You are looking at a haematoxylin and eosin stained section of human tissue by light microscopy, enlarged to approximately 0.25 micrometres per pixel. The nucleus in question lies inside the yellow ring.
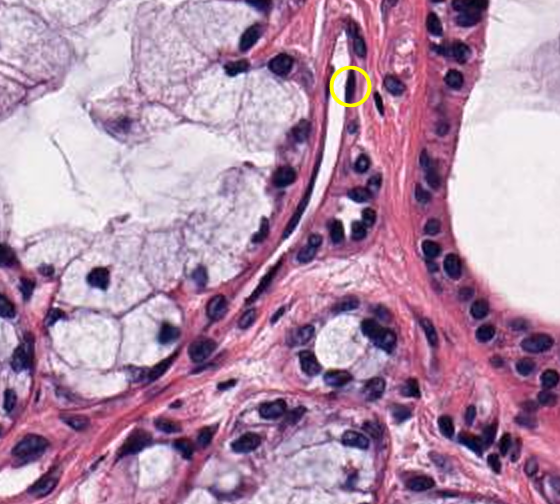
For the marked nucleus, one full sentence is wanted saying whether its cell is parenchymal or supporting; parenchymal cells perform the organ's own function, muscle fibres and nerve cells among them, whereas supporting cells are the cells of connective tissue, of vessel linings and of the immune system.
In this field of view, a supporting cell owns the marked nucleus.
